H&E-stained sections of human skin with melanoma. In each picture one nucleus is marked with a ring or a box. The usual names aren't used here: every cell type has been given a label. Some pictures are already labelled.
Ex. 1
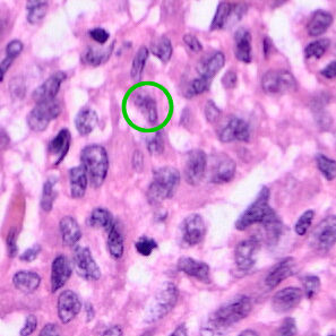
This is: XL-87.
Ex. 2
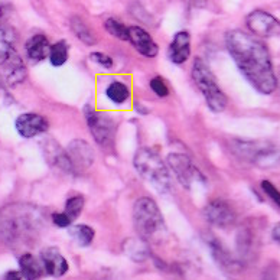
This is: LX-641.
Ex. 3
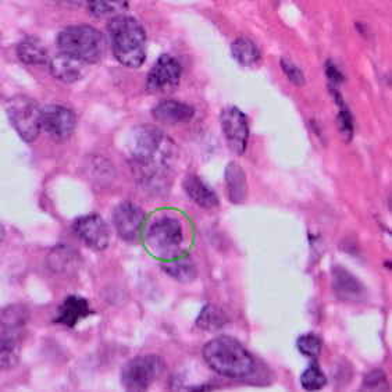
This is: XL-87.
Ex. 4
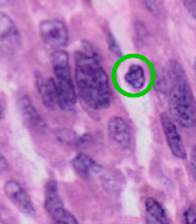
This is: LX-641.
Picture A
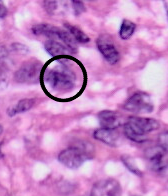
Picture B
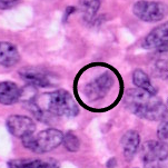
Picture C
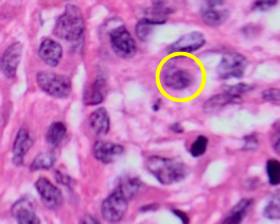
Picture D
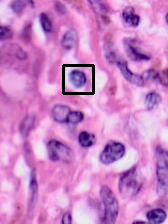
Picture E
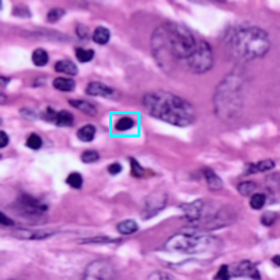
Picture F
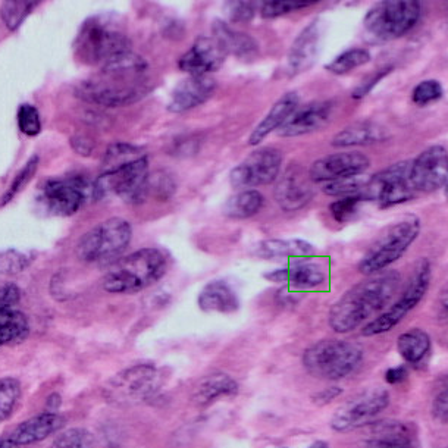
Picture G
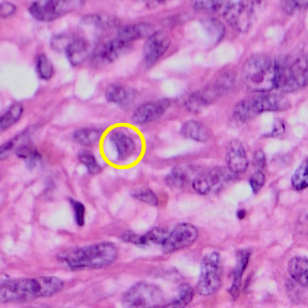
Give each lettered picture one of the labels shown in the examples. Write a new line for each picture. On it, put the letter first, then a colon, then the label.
A: XL-87.
B: XL-87.
C: XL-87.
D: LX-641.
E: LX-641.
F: XL-87.
G: XL-87.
